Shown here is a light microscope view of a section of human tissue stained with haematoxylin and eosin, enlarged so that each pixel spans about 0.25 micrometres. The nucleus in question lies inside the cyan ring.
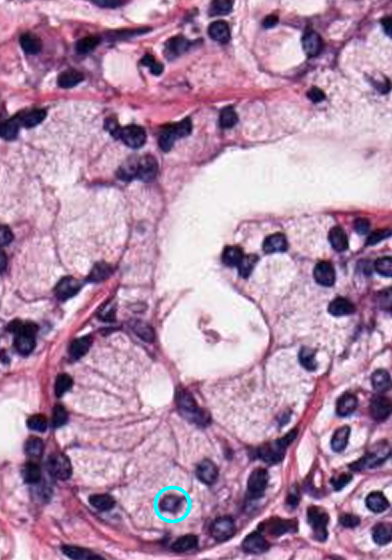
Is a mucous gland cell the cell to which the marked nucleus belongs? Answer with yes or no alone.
yes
